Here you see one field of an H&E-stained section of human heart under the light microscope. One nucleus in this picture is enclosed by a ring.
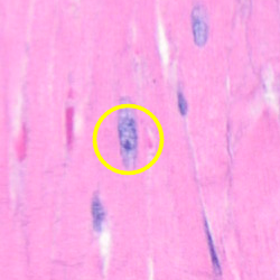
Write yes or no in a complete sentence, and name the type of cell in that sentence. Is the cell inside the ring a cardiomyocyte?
Yes, the cell inside the ring is properly called a cardiomyocyte in this section.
